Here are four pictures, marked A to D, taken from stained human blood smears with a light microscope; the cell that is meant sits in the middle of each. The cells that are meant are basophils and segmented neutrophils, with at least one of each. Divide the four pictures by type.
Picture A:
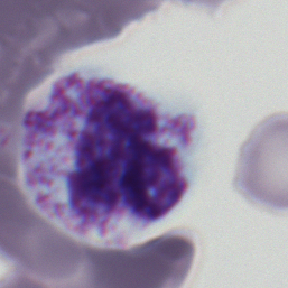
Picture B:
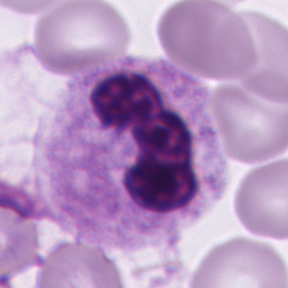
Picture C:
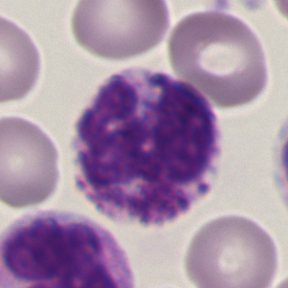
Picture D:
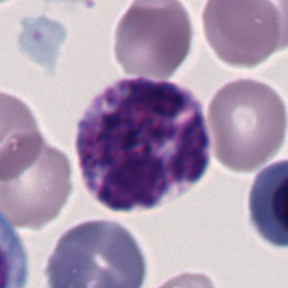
A: basophil
B: segmented neutrophil
C: basophil
D: basophil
